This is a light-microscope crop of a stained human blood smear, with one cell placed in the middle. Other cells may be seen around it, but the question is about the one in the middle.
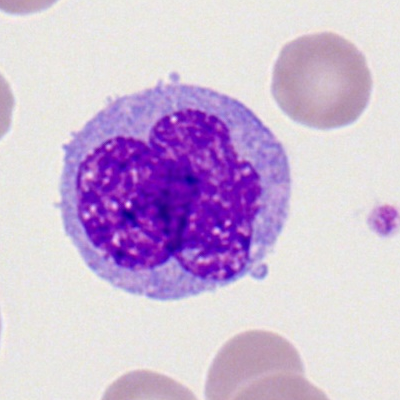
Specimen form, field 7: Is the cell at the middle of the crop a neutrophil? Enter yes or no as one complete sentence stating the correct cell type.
No, the cell at the centre is a monocyte, which rules out a neutrophil.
